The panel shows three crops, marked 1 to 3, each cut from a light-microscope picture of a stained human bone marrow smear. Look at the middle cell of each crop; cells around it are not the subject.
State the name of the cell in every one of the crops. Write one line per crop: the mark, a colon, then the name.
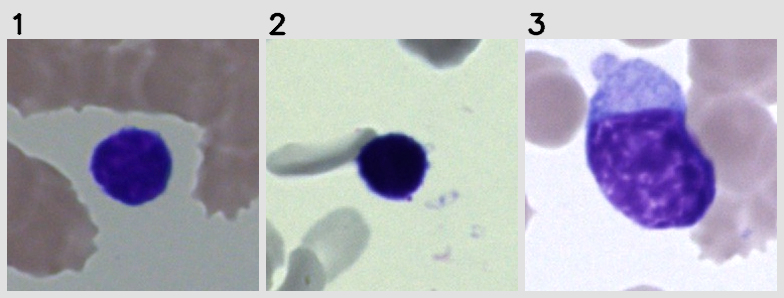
1: lymphocyte
2: lymphocyte
3: blast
